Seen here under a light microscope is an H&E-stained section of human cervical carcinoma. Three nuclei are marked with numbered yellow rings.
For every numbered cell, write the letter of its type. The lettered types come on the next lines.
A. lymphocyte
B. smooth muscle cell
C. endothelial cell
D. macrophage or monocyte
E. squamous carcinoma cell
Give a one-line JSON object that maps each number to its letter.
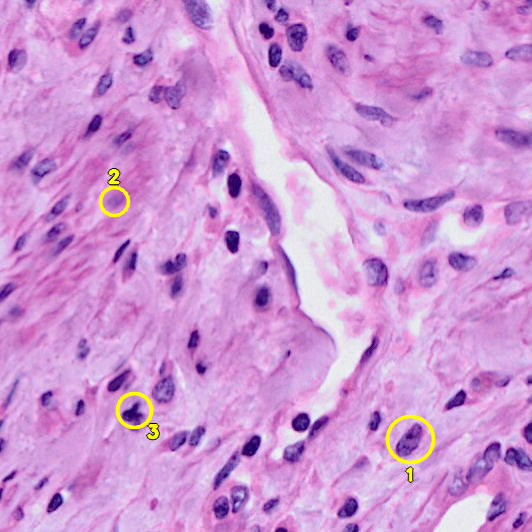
{"1": "D", "2": "B", "3": "A"}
